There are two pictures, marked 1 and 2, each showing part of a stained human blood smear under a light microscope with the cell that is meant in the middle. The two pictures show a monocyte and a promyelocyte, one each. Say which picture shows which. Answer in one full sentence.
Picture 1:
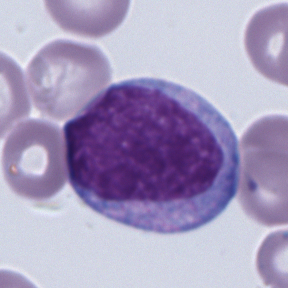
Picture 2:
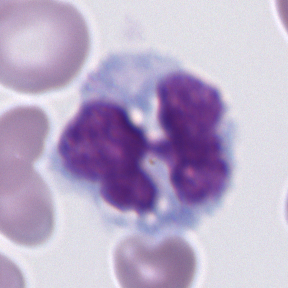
The cell in picture 1 is a promyelocyte, and the one in picture 2 is a monocyte.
